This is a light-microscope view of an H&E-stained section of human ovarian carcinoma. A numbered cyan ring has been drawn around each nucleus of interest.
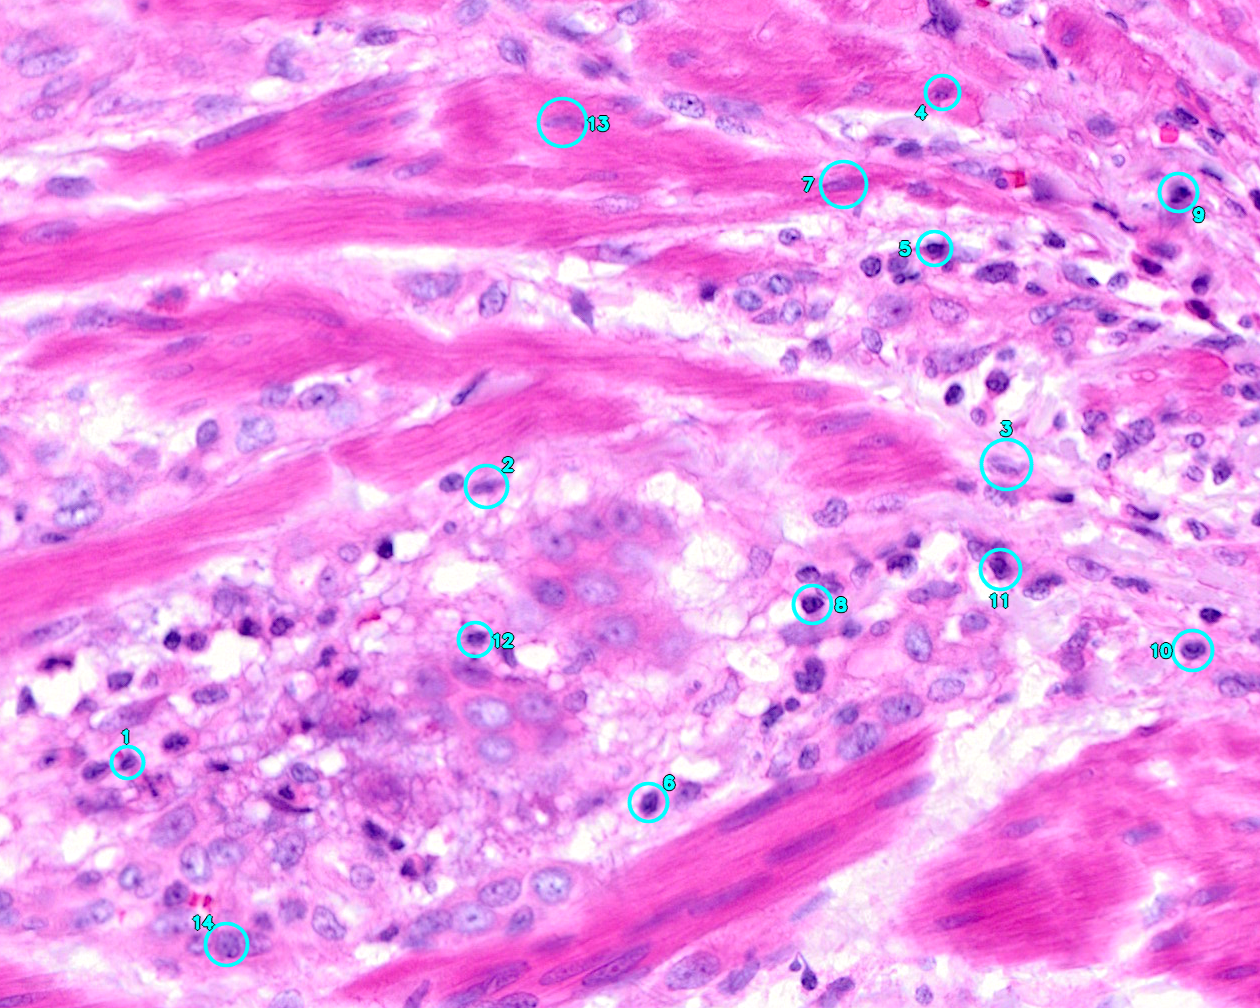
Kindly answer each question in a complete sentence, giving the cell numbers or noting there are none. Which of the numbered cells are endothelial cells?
Cell 14 is the only one of the numbered cells that is an endothelial cell.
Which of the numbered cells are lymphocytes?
Here, the cells that carry numbers 1, 5, 6, 8, 9, 10, 11 and 12 are lymphocytes.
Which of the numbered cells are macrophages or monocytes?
Mind that only cell 2 is a macrophage or monocyte, none of the rest.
